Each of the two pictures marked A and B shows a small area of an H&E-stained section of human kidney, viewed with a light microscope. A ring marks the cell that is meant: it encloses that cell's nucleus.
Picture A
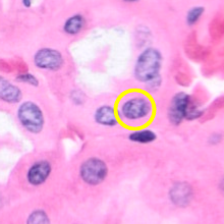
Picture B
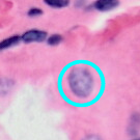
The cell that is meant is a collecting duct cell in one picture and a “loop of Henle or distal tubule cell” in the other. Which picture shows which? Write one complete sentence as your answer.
It is picture A that shows a collecting duct cell, and picture B that shows a “loop of Henle or distal tubule cell”.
